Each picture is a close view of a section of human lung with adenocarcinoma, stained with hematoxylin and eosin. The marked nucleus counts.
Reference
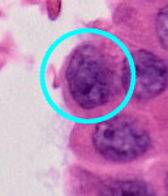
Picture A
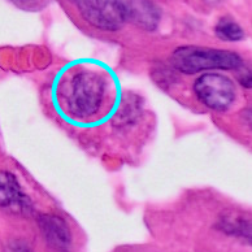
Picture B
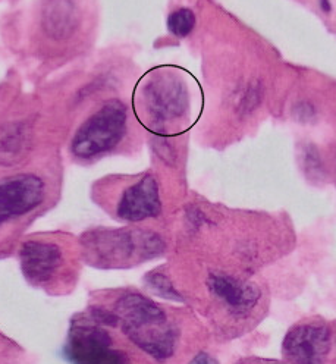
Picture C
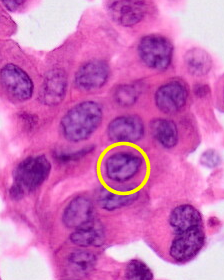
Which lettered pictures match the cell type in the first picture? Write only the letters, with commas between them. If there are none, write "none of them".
A, B, C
